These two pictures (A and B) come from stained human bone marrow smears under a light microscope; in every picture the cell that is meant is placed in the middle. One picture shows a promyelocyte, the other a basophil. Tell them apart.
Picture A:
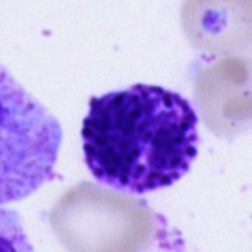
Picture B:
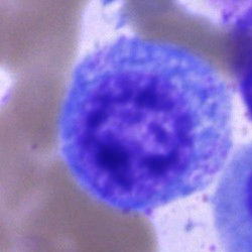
A: basophil
B: promyelocyte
